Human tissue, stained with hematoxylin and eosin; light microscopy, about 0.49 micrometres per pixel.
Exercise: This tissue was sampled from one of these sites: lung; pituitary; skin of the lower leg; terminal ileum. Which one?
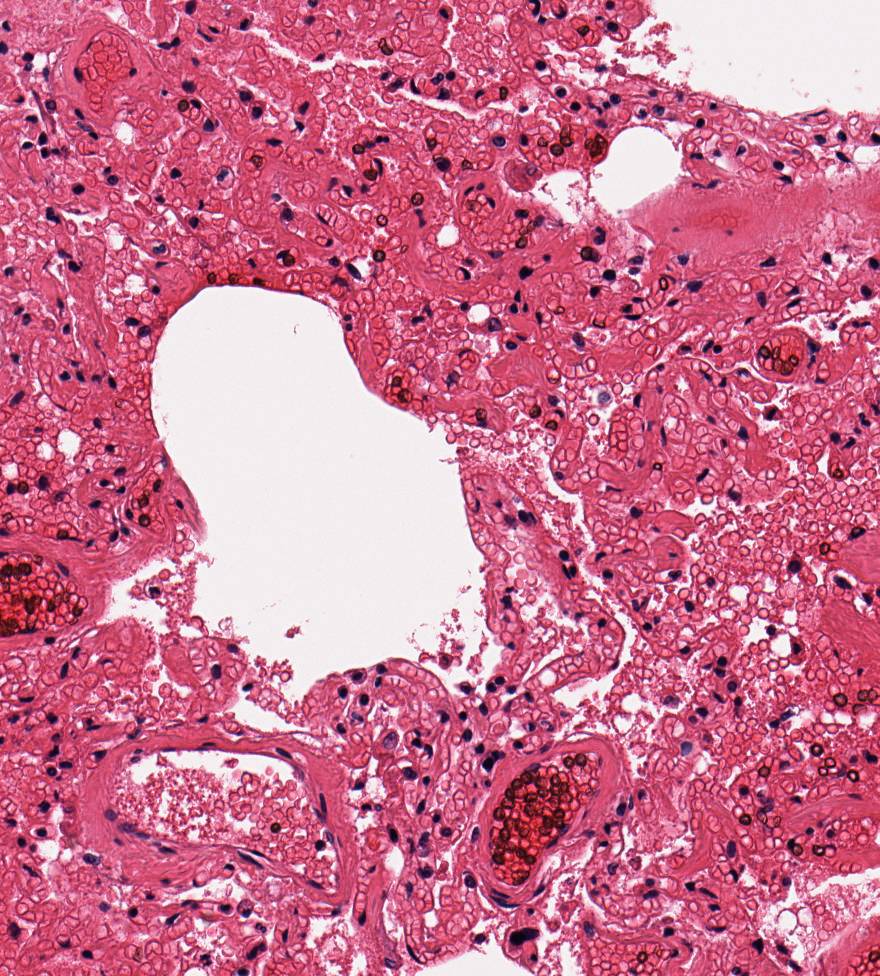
lung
